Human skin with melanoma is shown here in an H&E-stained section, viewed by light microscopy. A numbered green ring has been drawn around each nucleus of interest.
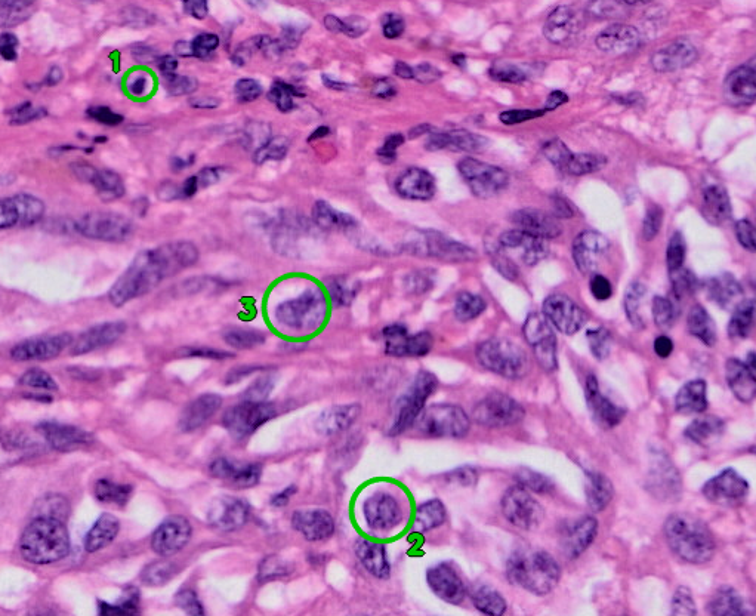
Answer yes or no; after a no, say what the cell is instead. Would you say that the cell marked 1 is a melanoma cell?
No, it is a lymphocyte.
